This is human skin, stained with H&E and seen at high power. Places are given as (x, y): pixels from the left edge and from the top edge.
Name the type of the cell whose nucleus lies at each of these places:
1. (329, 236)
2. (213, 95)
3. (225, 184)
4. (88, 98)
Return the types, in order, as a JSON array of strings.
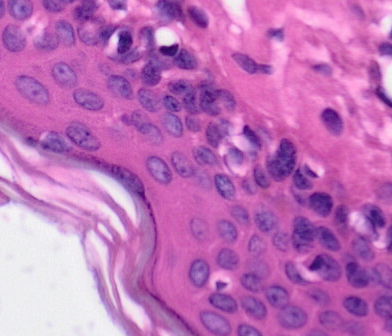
["basal keratinocyte", "basal keratinocyte", "suprabasal keratinocyte", "suprabasal keratinocyte"]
